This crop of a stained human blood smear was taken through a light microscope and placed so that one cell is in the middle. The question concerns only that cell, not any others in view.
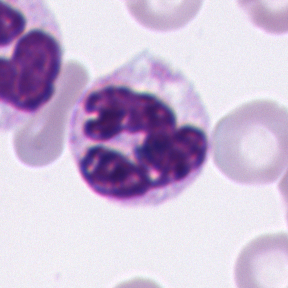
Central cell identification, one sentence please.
Here the cell in the middle is a segmented neutrophil.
